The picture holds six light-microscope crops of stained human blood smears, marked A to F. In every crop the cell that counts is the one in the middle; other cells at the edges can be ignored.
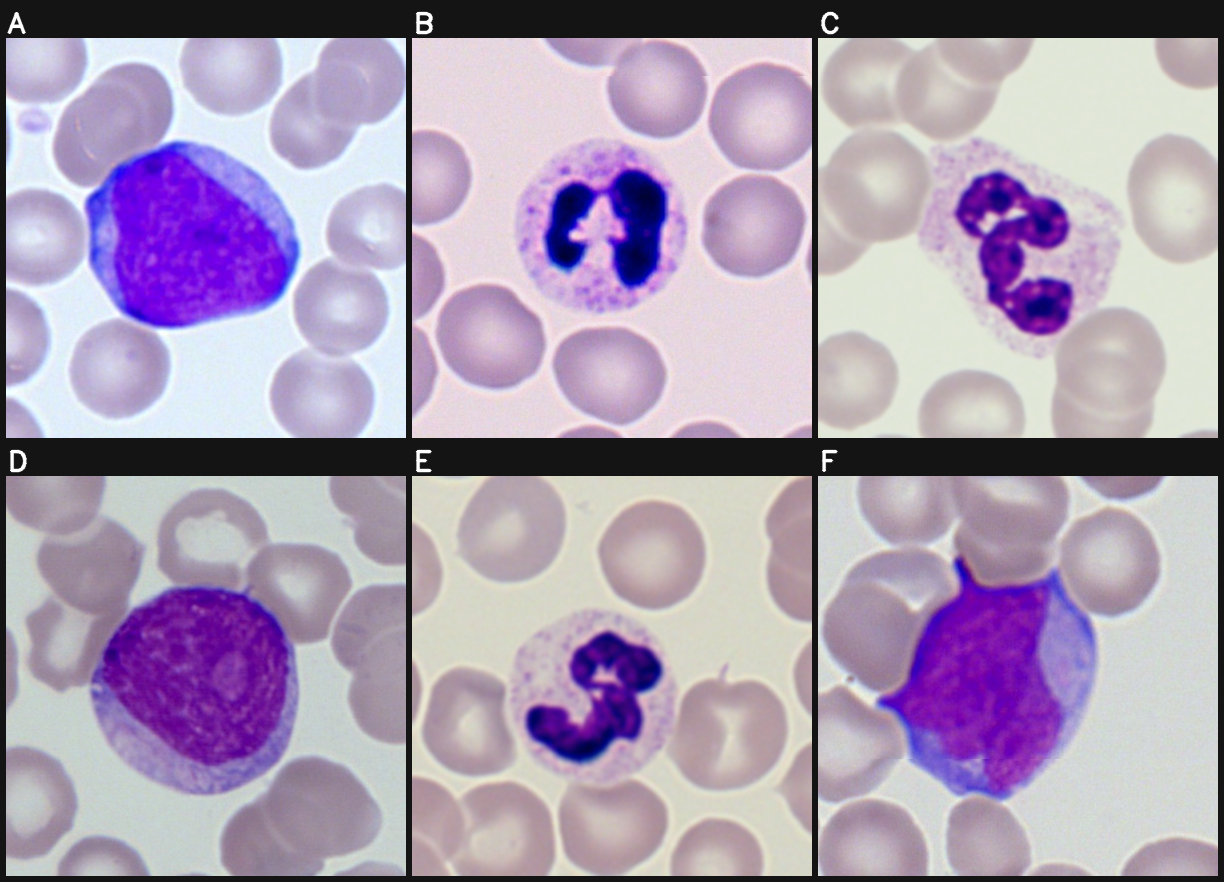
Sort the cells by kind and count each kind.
myeloblast: 3
segmented neutrophil: 3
